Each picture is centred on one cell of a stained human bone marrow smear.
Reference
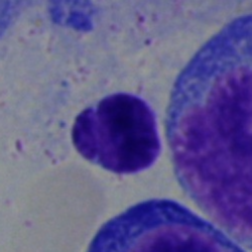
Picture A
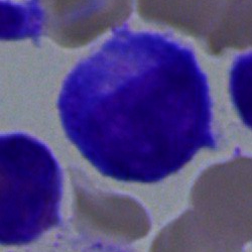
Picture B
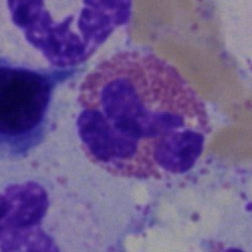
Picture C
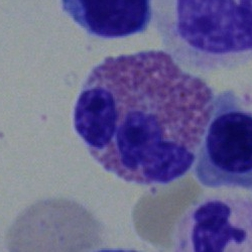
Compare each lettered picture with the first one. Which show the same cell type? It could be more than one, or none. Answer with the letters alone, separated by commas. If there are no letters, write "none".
none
